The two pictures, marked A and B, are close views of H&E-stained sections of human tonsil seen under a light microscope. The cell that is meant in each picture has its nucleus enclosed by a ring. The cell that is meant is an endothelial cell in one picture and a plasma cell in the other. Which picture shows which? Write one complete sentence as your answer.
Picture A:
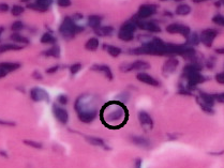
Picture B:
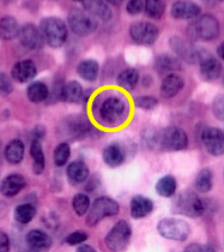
Picture A is of an endothelial cell, and picture B is of a plasma cell.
